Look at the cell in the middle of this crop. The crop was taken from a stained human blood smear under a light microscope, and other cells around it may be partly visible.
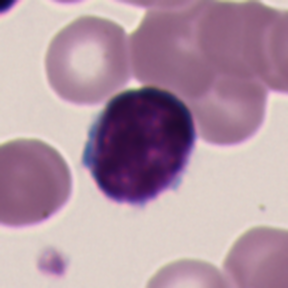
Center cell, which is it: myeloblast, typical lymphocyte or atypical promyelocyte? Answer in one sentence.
The cell at the heart of this crop is a typical lymphocyte.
